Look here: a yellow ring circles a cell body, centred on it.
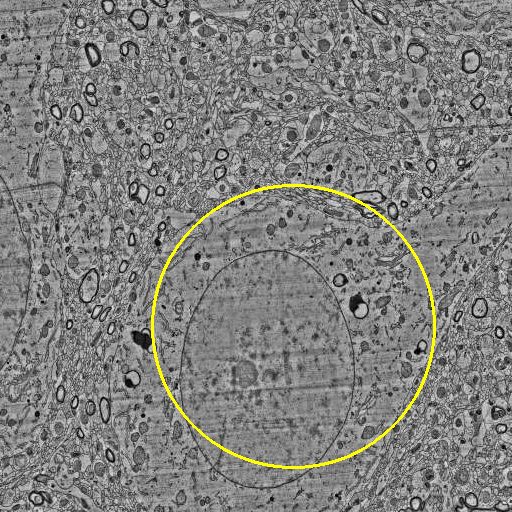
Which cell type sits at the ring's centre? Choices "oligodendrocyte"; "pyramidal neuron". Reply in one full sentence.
The cell at the centre of the yellow ring in the picture is a pyramidal neuron.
